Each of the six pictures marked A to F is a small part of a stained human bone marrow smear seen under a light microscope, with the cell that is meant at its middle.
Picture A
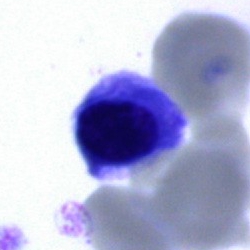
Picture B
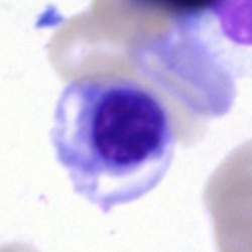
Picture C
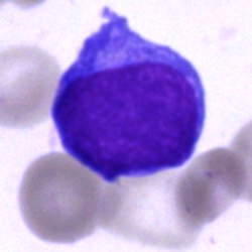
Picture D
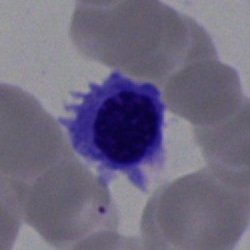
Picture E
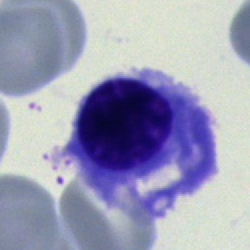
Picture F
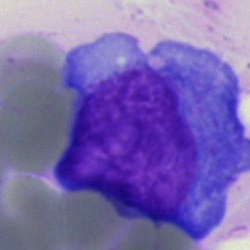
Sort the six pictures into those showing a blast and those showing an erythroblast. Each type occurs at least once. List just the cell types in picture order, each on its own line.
erythroblast
erythroblast
blast
erythroblast
erythroblast
blast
